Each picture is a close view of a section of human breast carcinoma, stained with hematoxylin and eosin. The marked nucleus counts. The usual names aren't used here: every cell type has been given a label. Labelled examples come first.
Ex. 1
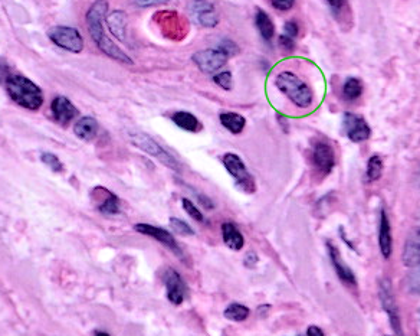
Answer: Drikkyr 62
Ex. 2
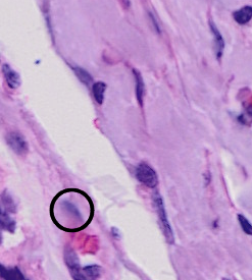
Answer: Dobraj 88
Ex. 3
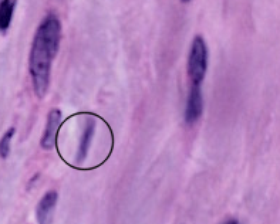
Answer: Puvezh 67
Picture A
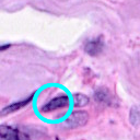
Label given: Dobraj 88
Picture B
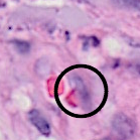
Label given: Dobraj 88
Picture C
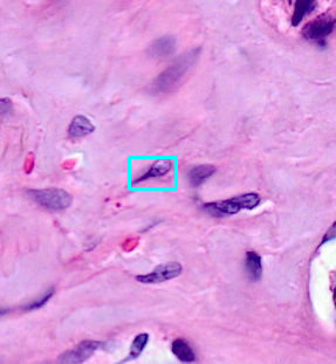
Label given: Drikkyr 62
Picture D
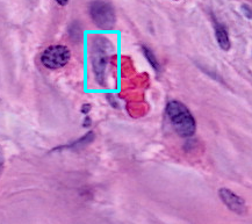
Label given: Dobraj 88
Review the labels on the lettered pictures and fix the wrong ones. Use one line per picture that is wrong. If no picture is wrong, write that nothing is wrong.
C: change Drikkyr 62 to Puvezh 67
